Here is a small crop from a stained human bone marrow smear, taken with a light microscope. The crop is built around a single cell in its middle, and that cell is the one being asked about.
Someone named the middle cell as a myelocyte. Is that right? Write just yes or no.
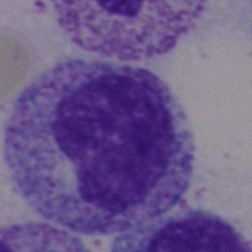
yes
